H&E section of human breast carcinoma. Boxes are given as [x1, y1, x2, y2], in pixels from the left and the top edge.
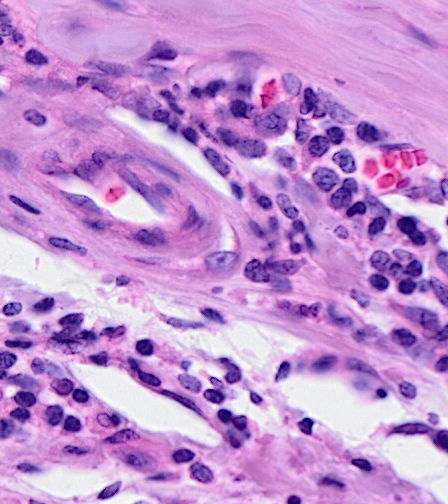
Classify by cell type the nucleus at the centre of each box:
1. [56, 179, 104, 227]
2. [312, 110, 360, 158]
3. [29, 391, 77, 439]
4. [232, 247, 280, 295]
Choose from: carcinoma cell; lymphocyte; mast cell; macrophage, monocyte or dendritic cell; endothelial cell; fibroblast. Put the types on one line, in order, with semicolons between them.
endothelial cell; lymphocyte; lymphocyte; lymphocyte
